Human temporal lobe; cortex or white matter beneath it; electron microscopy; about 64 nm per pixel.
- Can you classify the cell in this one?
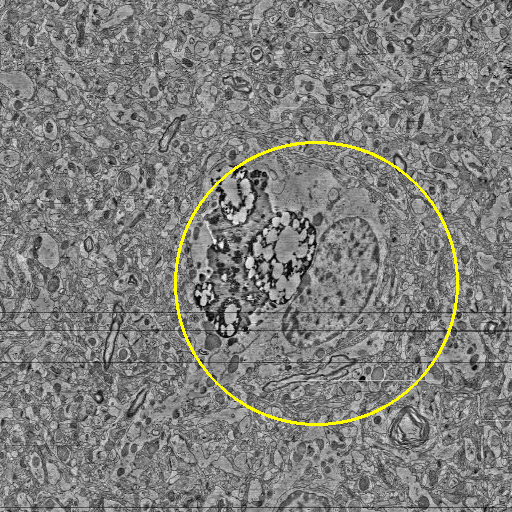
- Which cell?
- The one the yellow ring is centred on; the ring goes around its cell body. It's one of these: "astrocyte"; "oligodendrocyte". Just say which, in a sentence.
The cell body in the ring belongs to an astrocyte.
